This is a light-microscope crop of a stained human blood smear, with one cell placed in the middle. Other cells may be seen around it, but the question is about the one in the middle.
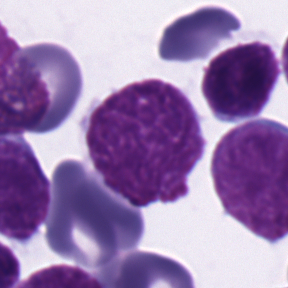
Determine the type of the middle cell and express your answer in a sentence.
The cell shown in the center of this light-microscope crop is a myeloblast.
